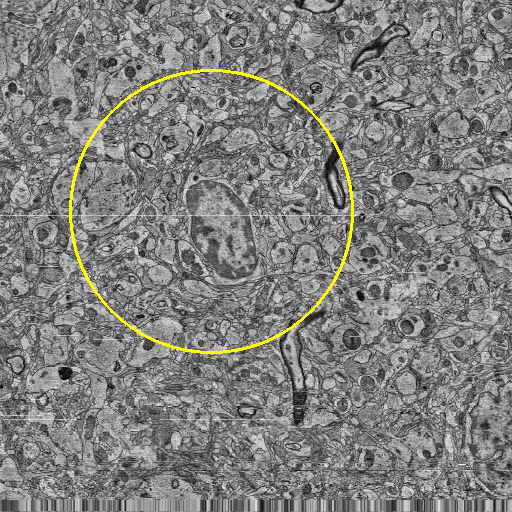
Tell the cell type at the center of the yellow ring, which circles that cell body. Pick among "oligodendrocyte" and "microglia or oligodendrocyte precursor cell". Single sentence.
The ring is centered on the body of a microglial cell or oligodendrocyte precursor cell.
